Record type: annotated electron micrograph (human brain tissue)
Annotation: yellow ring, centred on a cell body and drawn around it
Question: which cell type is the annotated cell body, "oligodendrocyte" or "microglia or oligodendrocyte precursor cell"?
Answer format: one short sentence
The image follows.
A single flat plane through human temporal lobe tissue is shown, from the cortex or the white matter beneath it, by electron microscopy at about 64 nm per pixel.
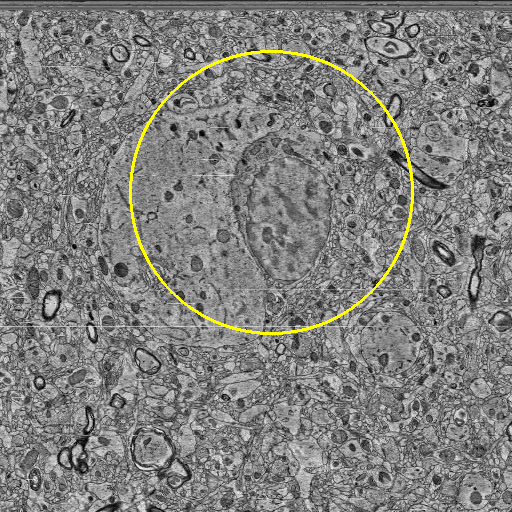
The annotated cell body is that of an oligodendrocyte.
